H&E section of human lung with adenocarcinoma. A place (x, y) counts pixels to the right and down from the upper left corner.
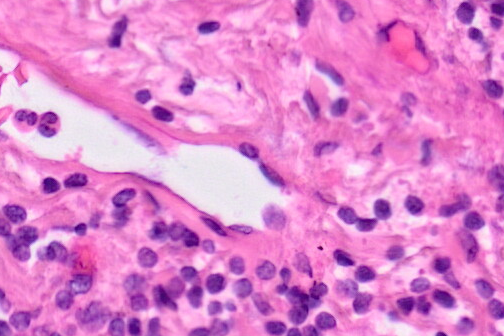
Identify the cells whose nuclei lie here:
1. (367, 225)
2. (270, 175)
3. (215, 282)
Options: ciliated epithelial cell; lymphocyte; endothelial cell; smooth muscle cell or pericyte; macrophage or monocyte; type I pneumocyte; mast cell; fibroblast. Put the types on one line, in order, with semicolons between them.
lymphocyte; endothelial cell; lymphocyte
